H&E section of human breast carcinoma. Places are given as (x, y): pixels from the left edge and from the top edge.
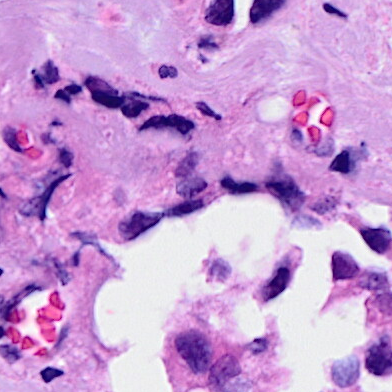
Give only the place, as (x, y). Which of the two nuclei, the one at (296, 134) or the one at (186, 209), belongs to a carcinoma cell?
(186, 209)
